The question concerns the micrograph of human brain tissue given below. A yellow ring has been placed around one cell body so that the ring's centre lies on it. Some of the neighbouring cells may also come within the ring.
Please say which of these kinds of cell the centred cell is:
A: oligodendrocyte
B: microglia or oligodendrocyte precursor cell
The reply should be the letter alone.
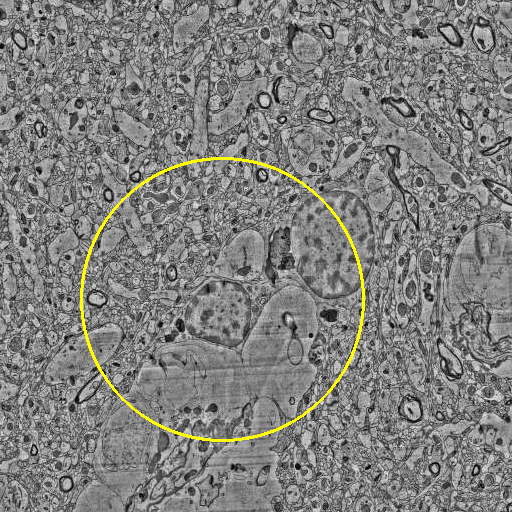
B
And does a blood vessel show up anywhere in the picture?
Yes, the image shows a blood vessel.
